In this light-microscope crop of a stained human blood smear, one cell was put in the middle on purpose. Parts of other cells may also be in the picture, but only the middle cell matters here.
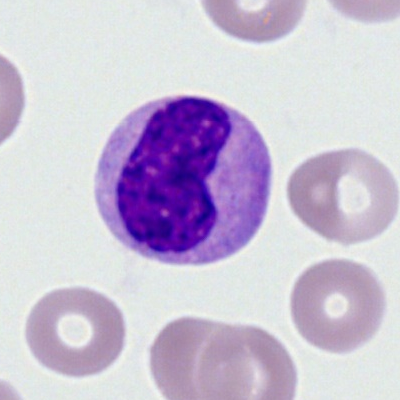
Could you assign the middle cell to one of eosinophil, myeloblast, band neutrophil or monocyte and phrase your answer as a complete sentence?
The cell at the middle of the frame should be recorded as a band neutrophil.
